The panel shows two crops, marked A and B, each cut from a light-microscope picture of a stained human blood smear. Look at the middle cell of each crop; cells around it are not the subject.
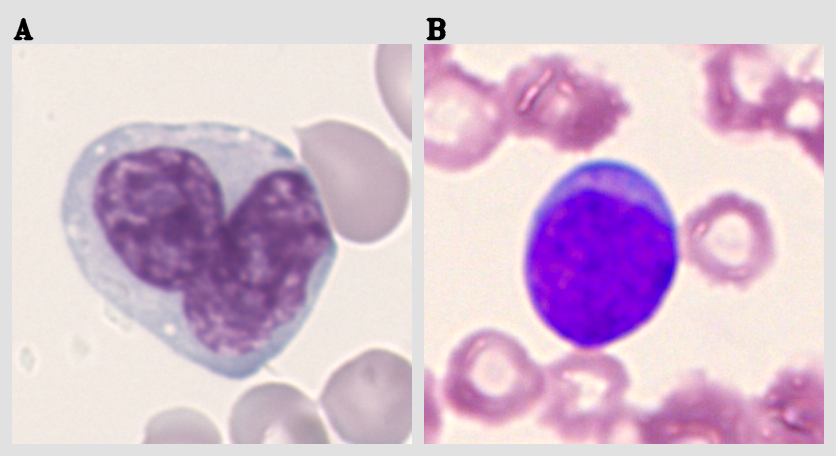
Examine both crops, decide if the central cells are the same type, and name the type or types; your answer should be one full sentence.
Yes, both crops show blasts as their central cells.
